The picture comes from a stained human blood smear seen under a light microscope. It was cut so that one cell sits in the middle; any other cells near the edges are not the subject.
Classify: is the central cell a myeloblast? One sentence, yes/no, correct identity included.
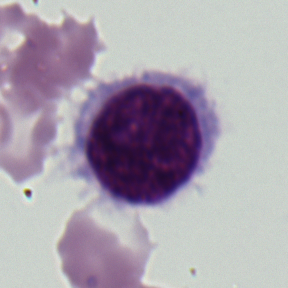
No, the central cell is not to be called a myeloblast, being a hairy cell.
